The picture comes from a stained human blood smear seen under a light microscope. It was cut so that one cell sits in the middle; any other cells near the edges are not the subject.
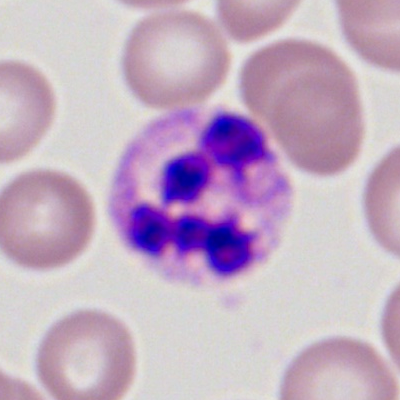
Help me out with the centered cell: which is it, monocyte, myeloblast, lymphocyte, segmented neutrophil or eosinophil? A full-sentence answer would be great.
Looking at the middle of the crop, the cell there is a segmented neutrophil.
